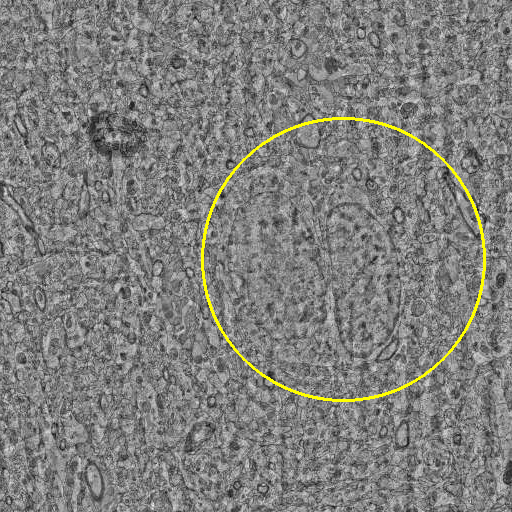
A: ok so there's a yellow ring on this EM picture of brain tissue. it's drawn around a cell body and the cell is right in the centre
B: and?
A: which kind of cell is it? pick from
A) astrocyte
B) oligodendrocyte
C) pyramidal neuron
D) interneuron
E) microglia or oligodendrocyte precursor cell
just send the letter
E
